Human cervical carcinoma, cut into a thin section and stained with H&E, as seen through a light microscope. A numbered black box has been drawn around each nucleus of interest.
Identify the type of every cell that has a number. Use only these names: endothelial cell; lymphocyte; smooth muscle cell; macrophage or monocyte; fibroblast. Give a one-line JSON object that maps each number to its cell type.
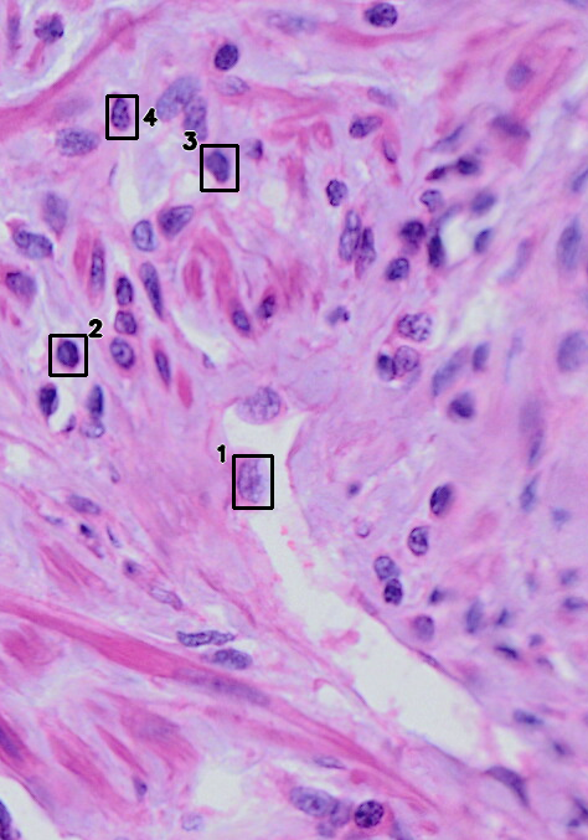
{"1": "endothelial cell", "2": "lymphocyte", "3": "lymphocyte", "4": "lymphocyte"}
